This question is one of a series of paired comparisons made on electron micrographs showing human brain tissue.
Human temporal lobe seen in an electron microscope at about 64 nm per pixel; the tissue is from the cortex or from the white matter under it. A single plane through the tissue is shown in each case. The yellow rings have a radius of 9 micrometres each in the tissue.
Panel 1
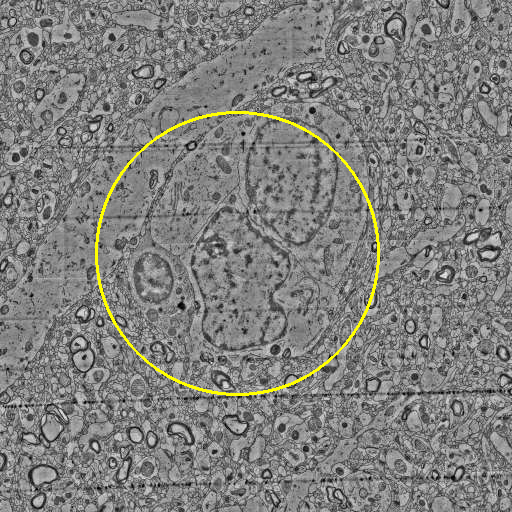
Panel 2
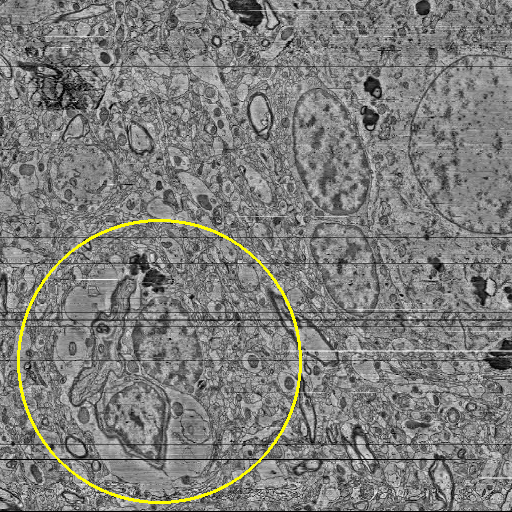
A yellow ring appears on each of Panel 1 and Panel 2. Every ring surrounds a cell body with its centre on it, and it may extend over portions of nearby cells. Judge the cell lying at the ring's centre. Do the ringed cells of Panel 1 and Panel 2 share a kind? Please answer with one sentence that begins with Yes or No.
No, the ring-centre cell in Panel 1 and the one in Panel 2 are of two kinds.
